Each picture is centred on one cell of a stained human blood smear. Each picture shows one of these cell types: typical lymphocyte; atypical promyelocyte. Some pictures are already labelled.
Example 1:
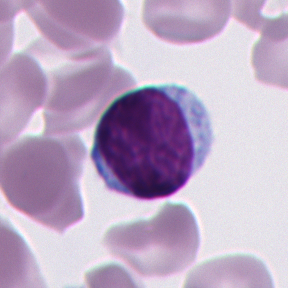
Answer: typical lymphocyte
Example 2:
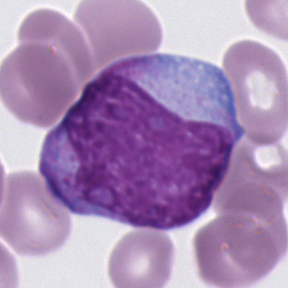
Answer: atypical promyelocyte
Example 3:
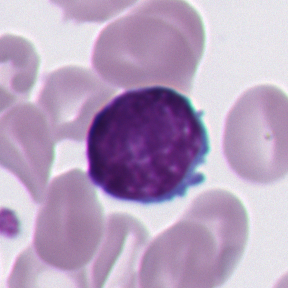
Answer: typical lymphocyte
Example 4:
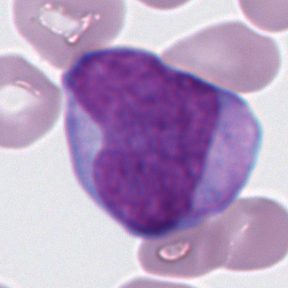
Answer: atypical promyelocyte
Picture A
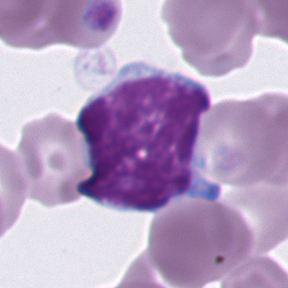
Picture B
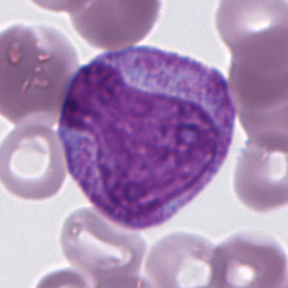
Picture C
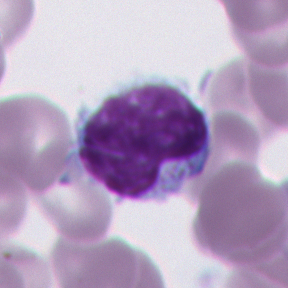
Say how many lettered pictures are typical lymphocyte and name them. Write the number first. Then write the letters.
Count: 2 (A, C)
